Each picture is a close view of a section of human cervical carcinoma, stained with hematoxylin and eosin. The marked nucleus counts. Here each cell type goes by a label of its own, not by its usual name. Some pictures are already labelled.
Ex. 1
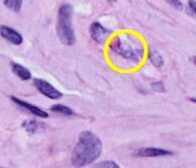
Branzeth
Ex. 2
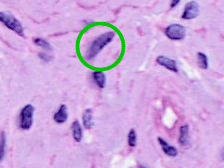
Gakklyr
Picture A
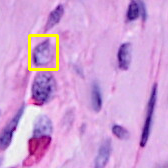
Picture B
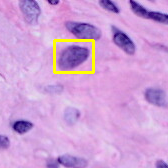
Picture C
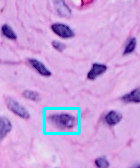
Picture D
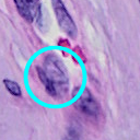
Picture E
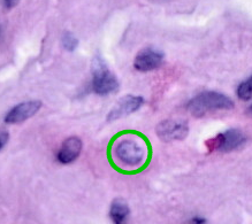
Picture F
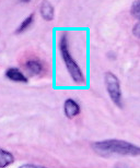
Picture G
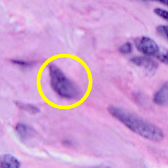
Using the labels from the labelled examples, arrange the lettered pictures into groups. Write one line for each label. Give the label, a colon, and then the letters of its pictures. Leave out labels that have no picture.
Branzeth: A, D, E
Gakklyr: B, C, F, G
